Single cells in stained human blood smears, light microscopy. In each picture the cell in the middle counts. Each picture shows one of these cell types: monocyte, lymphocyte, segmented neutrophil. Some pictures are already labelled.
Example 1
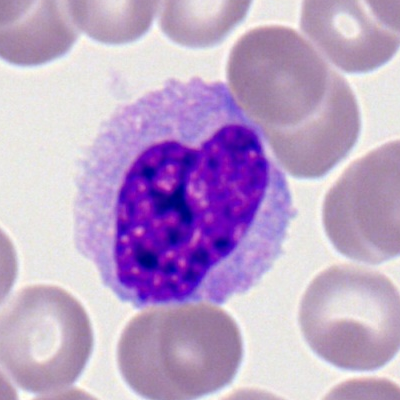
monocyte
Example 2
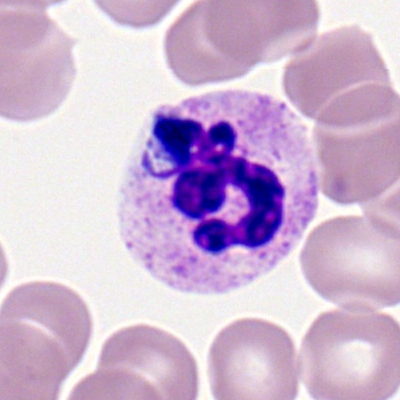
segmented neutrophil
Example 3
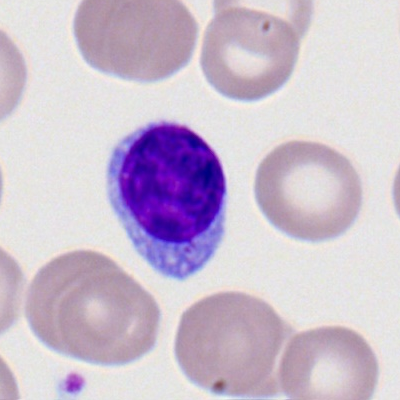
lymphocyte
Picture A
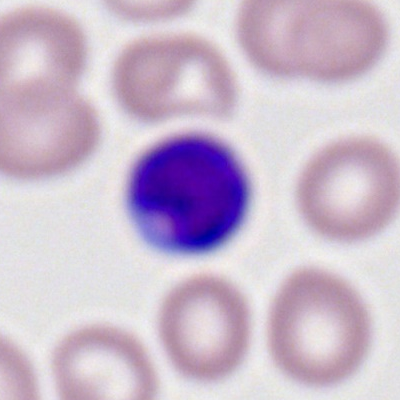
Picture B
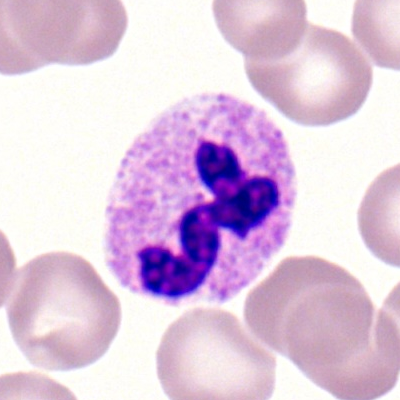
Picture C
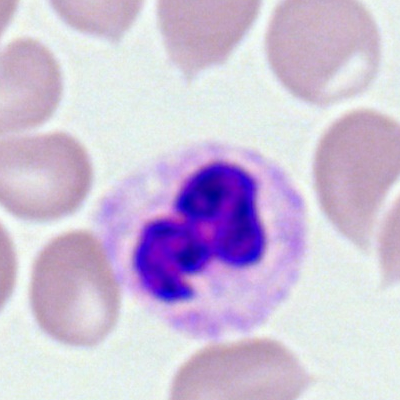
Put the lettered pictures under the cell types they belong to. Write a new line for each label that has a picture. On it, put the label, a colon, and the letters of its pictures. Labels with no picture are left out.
lymphocyte: A
segmented neutrophil: B, C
